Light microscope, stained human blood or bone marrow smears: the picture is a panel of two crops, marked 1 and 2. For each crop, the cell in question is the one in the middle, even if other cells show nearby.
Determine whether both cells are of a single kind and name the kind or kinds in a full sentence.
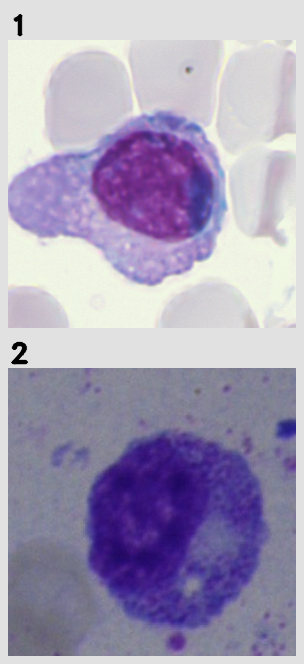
No, crop 2 shows a myelocyte, and crop 1 shows a plasma cell.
